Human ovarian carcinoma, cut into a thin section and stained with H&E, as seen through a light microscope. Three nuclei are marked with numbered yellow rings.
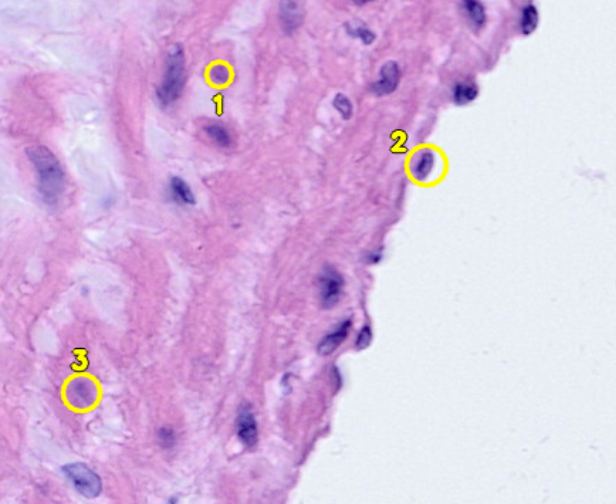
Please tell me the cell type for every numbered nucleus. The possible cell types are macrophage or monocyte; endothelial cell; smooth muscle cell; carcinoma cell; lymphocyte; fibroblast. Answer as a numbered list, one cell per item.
1. smooth muscle cell
2. endothelial cell
3. smooth muscle cell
